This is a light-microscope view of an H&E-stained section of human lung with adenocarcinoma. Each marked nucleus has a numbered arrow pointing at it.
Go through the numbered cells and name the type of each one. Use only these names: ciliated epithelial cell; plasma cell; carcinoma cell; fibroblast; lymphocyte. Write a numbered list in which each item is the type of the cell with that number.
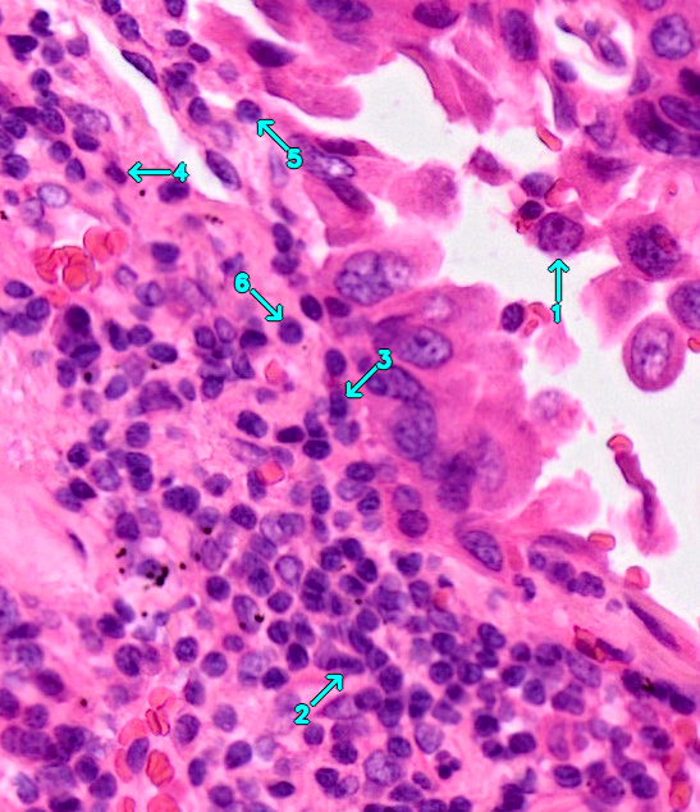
1. carcinoma cell
2. lymphocyte
3. lymphocyte
4. plasma cell
5. lymphocyte
6. lymphocyte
